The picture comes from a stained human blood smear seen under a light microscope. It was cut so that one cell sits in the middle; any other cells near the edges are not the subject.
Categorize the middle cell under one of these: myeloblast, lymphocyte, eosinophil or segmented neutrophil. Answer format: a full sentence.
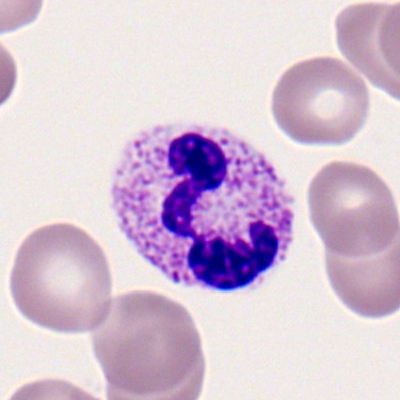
The cell at the central position in this crop is a segmented neutrophil.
